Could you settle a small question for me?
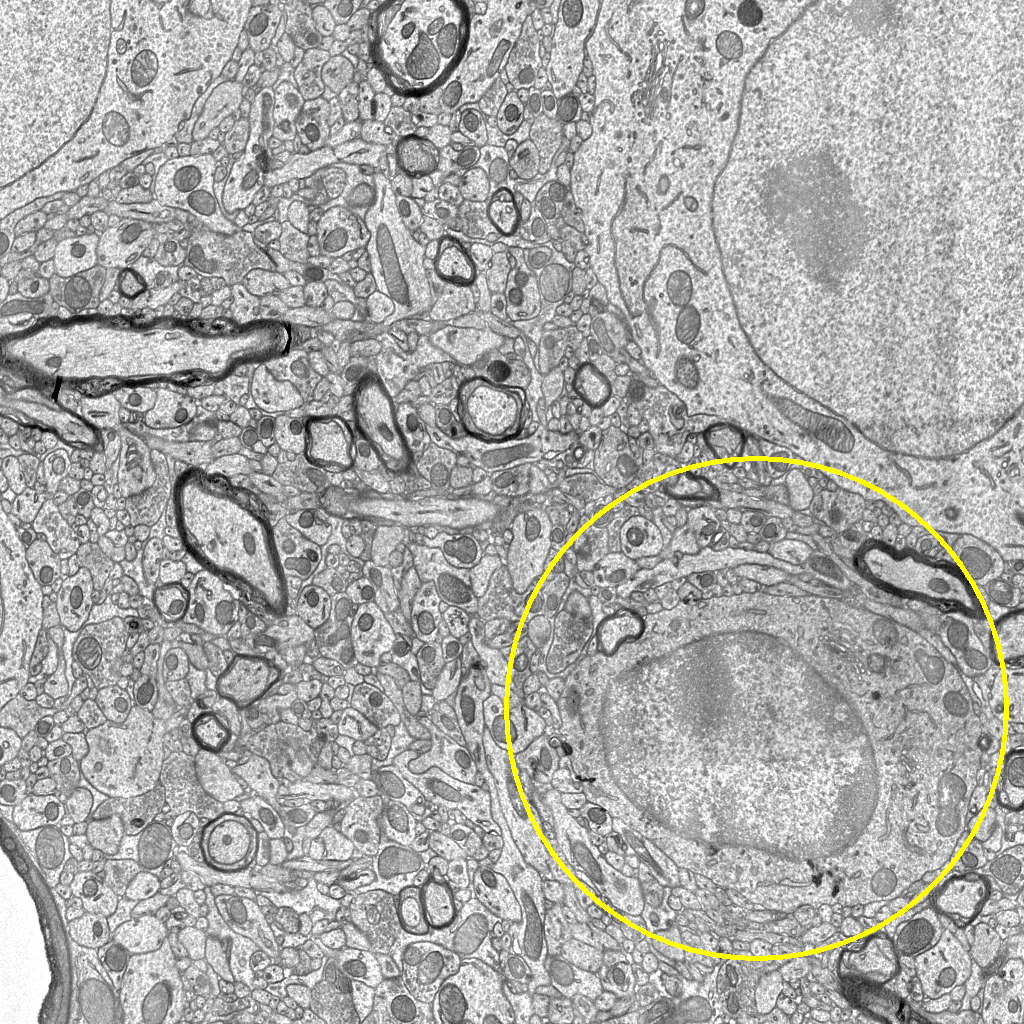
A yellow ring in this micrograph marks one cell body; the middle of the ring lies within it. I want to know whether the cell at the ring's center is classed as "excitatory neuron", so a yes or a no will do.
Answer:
no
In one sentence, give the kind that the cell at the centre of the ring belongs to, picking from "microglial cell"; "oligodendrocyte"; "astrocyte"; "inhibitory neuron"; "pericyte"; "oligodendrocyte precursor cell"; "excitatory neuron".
This picture has an oligodendrocyte at the centre of its ring.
